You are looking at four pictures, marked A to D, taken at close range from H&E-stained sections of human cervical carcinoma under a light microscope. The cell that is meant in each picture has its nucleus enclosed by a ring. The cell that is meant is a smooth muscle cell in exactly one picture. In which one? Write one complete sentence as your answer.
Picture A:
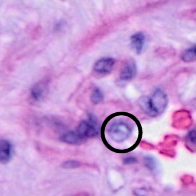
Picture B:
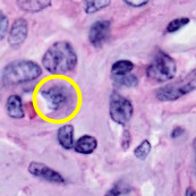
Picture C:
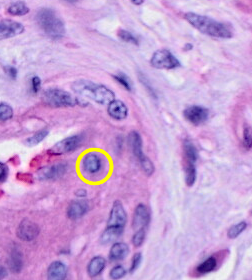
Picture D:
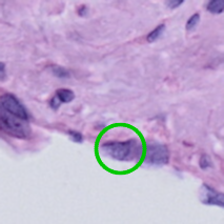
Picture C is the one that shows the smooth muscle cell.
